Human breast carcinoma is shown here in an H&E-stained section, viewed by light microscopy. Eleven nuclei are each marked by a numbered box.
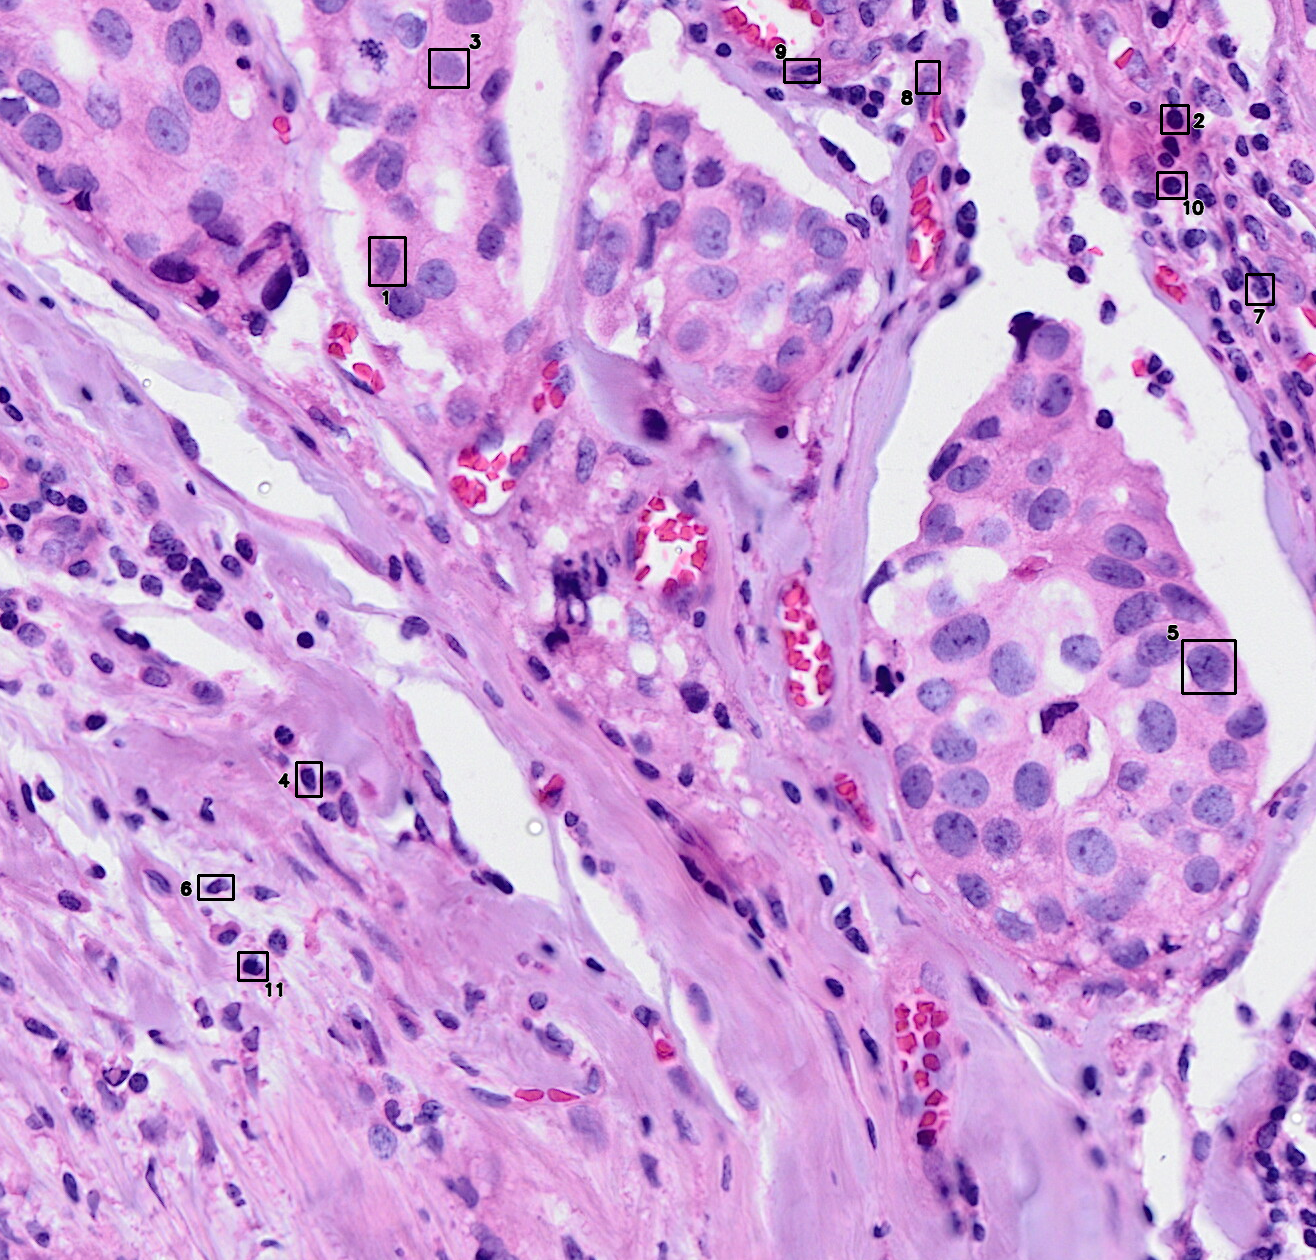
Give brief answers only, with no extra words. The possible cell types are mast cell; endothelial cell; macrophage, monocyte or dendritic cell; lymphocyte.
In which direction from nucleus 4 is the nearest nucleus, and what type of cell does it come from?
a mast cell; to the right of nucleus 4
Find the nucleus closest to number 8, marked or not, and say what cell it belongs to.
endothelial cell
